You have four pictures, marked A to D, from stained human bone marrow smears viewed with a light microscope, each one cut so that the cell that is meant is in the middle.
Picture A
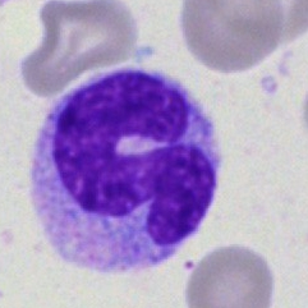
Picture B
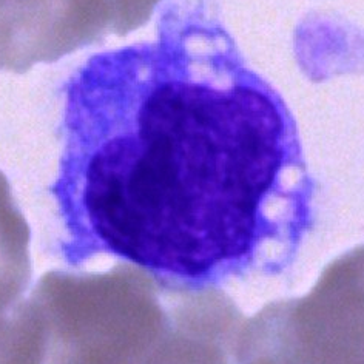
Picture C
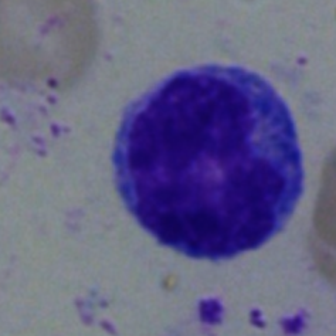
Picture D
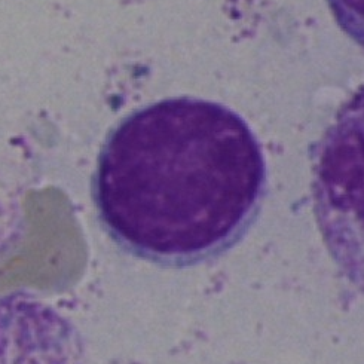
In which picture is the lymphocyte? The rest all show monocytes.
D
